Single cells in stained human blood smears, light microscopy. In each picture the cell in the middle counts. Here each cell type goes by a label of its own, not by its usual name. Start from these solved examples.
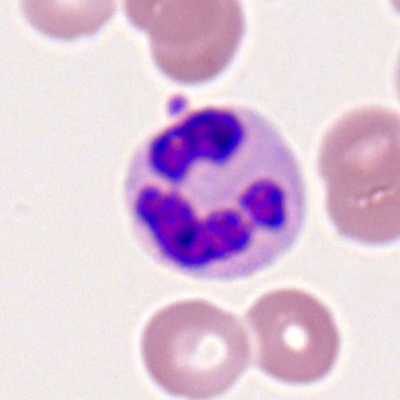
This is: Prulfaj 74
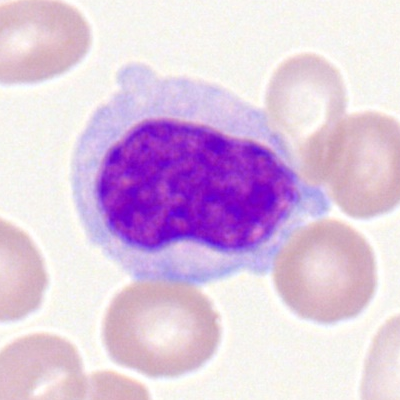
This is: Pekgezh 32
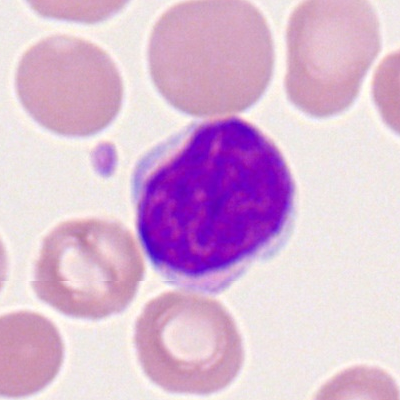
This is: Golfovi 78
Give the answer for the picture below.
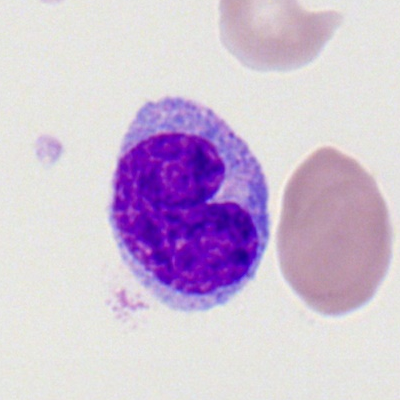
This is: Pekgezh 32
